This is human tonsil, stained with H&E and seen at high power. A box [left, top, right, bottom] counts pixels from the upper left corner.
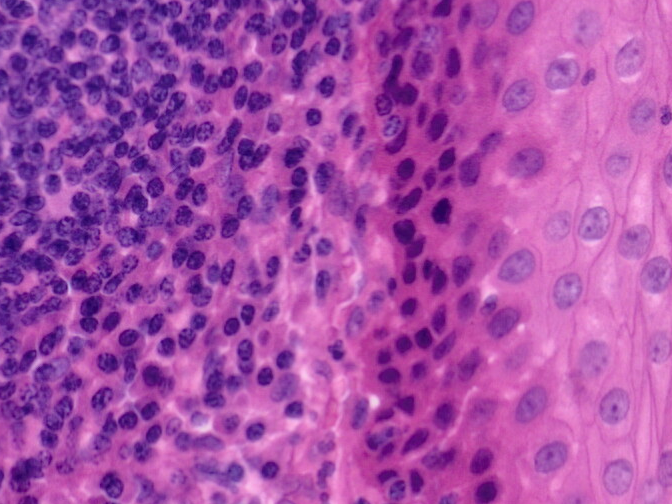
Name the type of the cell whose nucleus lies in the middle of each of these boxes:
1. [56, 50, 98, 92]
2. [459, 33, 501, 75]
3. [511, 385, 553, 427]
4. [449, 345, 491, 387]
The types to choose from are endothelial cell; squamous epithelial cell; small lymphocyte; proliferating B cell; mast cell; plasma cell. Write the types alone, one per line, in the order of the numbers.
small lymphocyte
squamous epithelial cell
squamous epithelial cell
squamous epithelial cell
